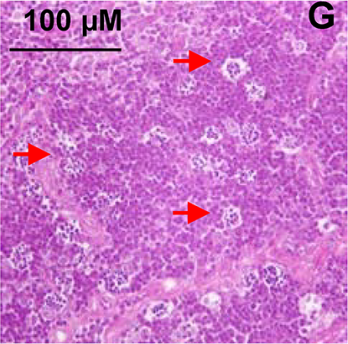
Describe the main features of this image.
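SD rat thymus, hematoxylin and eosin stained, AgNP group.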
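Thymic tissue densely packed with small, dark purple lymphocytes. Scattered among them are large pale macrophages holding dark nuclear fragments, giving a starry-sky pattern; pink fibrous strands cross the field.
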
